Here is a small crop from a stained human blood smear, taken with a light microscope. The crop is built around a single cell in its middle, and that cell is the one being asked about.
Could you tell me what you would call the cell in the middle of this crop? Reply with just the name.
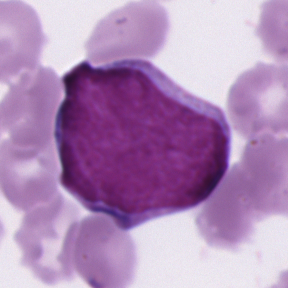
myeloblast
